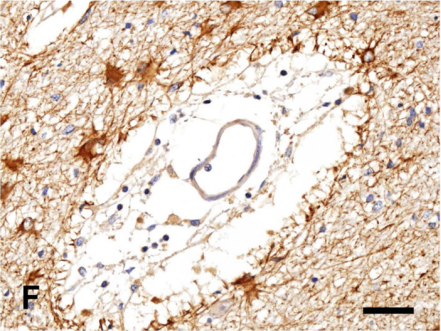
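Brown-stained star-shaped cells with enlarged cell bodies and thick branching processes lie in the tissue around a central vessel surrounded by a clear space. The swollen bodies and coarse processes of these brown cells mark them as reactive astrocytes crowding near the perivascular inflammation.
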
